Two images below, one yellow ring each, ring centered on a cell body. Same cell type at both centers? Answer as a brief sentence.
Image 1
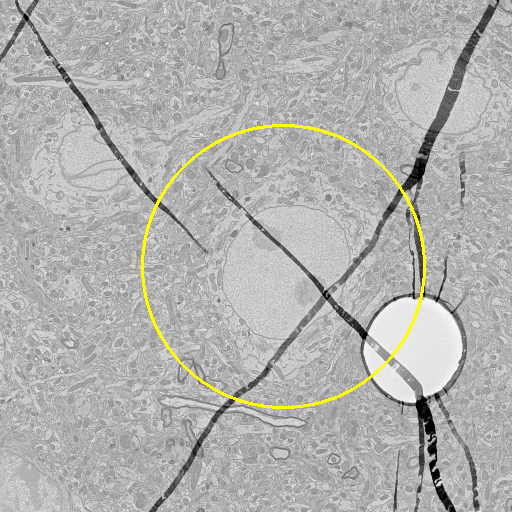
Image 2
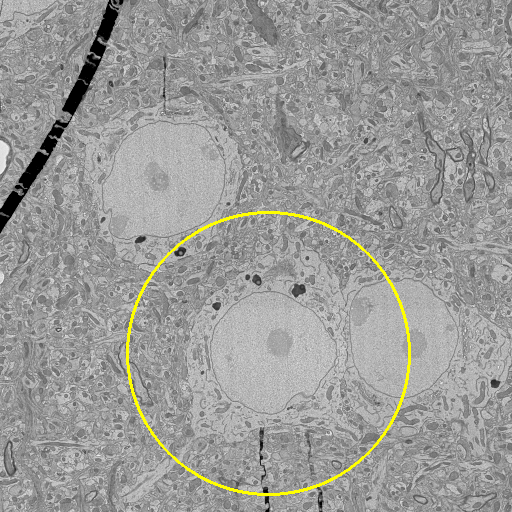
Yes, both cells are of the same type.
